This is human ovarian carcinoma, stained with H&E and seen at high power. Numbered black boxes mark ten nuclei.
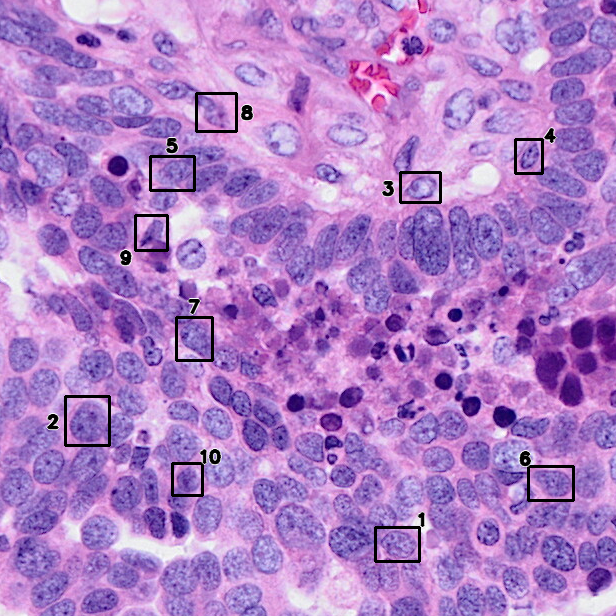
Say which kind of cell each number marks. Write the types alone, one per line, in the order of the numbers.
carcinoma cell
carcinoma cell
fibroblast
macrophage or monocyte
carcinoma cell
carcinoma cell
carcinoma cell
fibroblast
macrophage or monocyte
carcinoma cell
